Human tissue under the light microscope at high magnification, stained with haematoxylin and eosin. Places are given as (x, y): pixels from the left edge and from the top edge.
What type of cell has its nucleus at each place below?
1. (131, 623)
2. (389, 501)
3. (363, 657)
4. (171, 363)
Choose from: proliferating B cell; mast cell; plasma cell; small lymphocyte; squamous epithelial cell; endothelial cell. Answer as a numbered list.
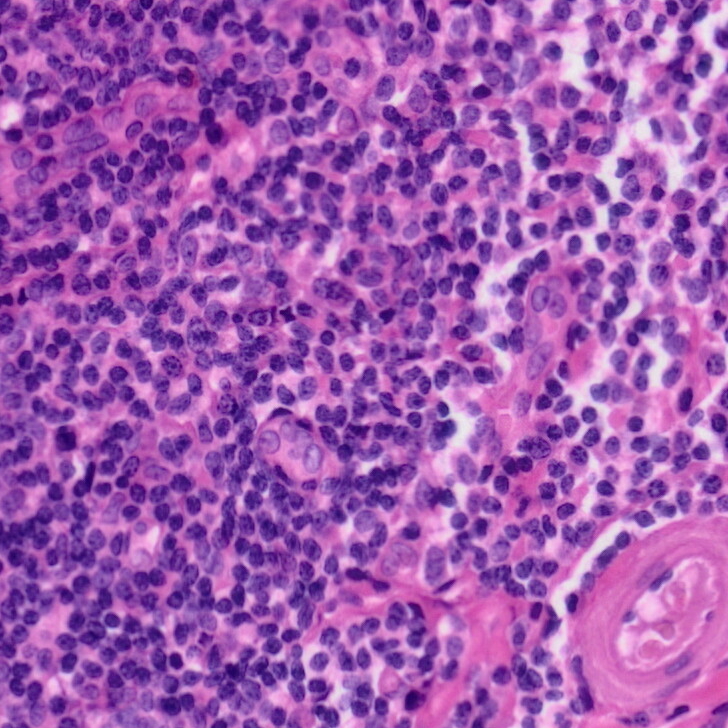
1. small lymphocyte
2. small lymphocyte
3. small lymphocyte
4. plasma cell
